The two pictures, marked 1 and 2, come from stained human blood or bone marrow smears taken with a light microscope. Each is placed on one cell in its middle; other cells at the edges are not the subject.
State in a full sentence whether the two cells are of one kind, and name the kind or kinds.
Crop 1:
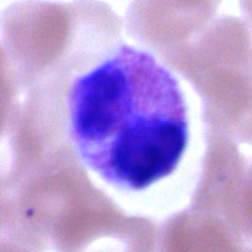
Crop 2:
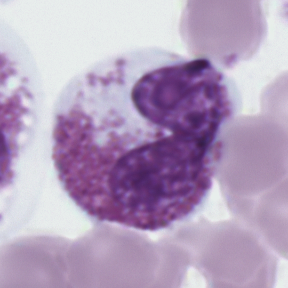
Yes, it is eosinophils that sit at the centre of both crops.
